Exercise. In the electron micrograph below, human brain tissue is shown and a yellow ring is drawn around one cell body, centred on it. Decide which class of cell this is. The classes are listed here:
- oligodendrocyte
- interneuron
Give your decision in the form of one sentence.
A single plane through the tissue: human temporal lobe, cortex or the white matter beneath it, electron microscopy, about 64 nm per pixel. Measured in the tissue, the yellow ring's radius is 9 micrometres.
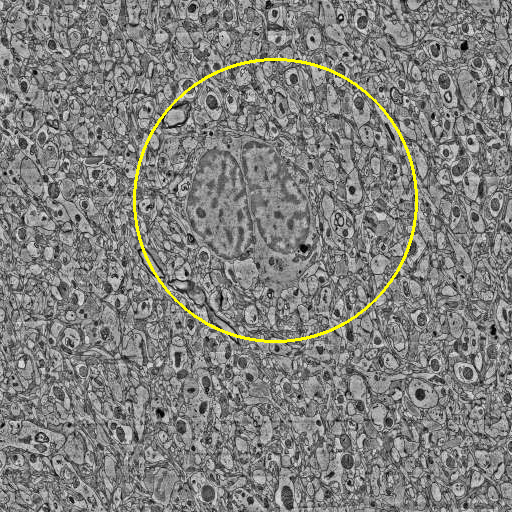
The cell body marked by the ring belongs to an oligodendrocyte.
